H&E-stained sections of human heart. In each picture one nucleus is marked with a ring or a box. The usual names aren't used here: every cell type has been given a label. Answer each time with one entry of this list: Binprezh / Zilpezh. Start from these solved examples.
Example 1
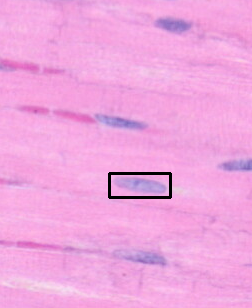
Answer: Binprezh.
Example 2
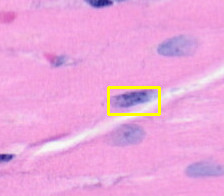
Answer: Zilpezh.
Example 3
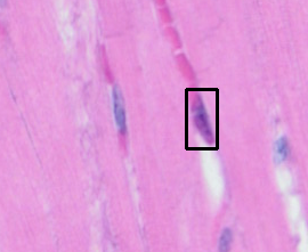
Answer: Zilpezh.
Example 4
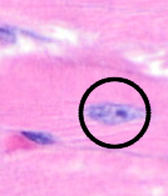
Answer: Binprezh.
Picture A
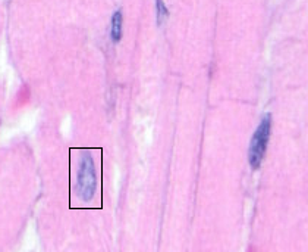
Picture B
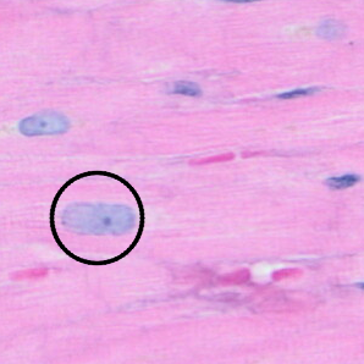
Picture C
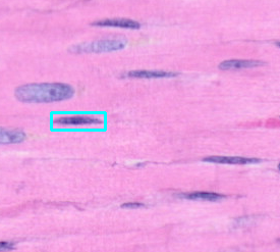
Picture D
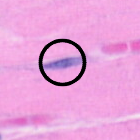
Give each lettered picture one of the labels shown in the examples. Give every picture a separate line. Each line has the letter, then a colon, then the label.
A: Binprezh.
B: Binprezh.
C: Zilpezh.
D: Zilpezh.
